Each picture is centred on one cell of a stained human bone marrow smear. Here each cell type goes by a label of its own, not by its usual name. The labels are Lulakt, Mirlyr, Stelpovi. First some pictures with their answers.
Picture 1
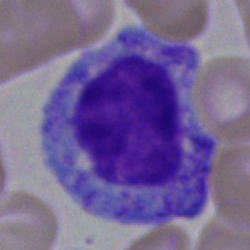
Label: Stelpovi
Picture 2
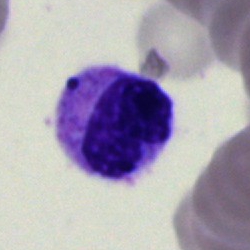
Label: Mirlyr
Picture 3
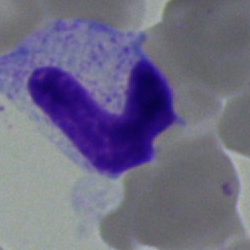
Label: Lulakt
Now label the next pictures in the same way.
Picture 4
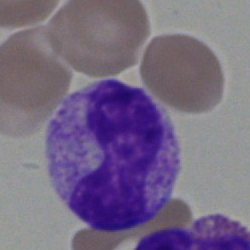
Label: Lulakt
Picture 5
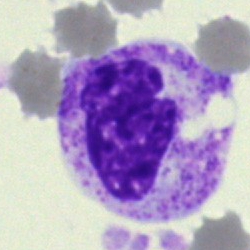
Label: Mirlyr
